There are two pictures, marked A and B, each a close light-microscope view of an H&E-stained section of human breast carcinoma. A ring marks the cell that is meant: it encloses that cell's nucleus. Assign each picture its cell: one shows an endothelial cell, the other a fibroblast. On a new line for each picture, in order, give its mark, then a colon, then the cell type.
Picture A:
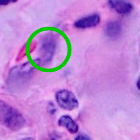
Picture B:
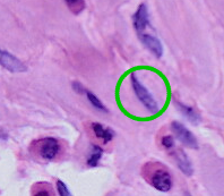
A: endothelial cell
B: fibroblast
